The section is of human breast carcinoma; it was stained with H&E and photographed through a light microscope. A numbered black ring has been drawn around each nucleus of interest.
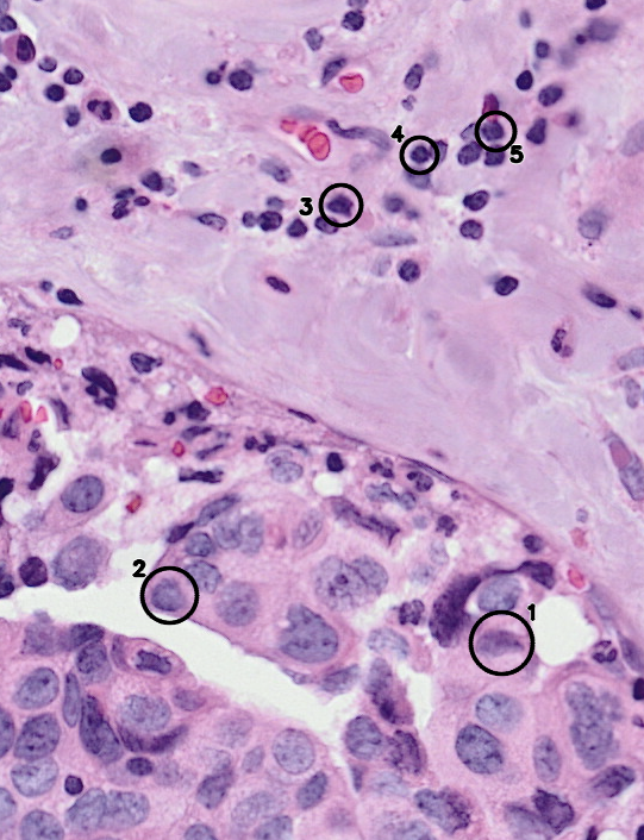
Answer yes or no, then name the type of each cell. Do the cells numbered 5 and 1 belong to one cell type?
No, cell 5 is a lymphocyte and cell 1 is a carcinoma cell.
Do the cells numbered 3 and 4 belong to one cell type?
Yes, both are lymphocytes.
